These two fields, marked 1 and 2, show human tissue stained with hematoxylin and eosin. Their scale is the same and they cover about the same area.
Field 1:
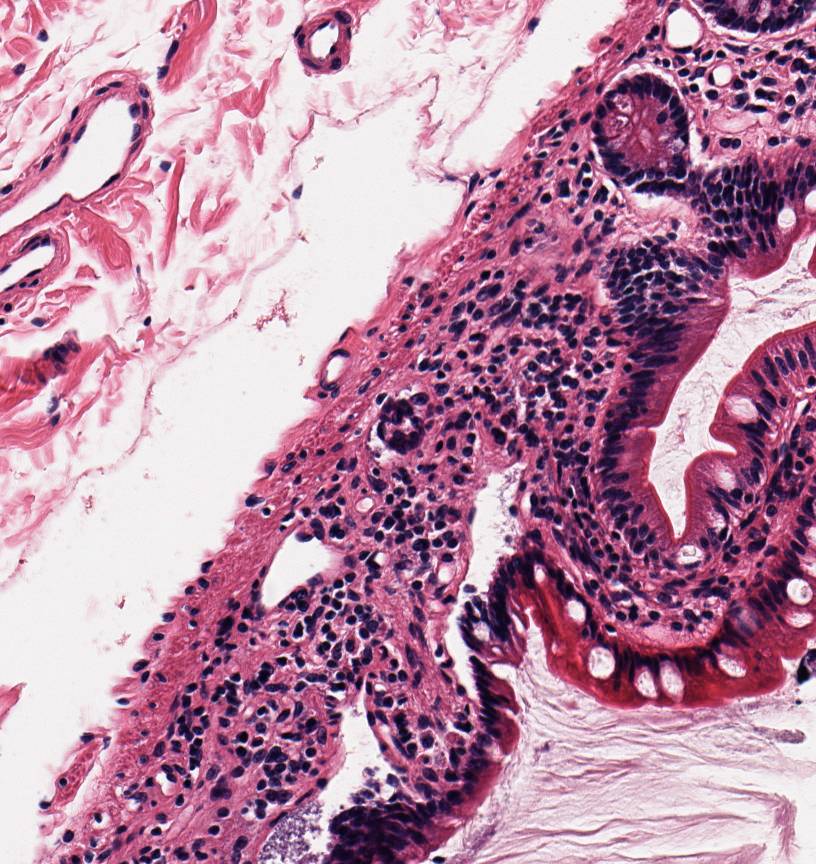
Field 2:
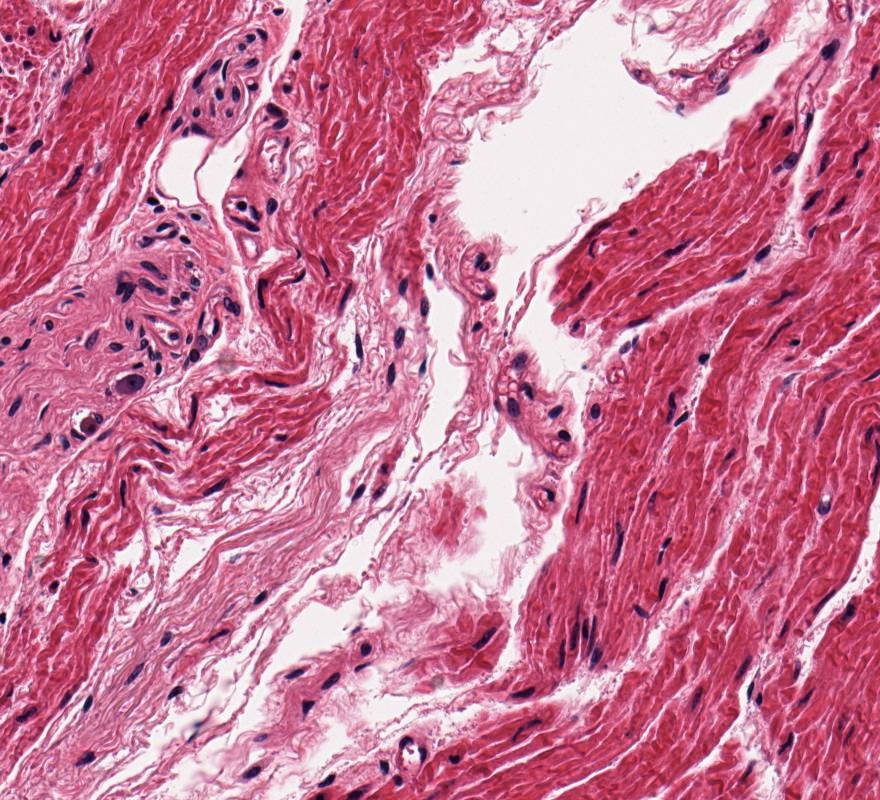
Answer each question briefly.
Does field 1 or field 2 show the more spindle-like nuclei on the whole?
2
